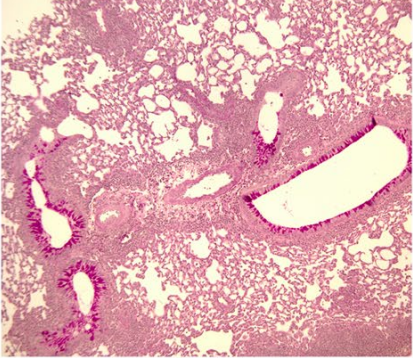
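Low-power section of lung with a large elongated airway and several smaller airways among alveoli. Thickened, cell-rich tissue surrounds the airways and the nearby vessels, consistent with airway inflammation. Away from the airways the alveolar walls are thin and pale pink. The air spaces there are open.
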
